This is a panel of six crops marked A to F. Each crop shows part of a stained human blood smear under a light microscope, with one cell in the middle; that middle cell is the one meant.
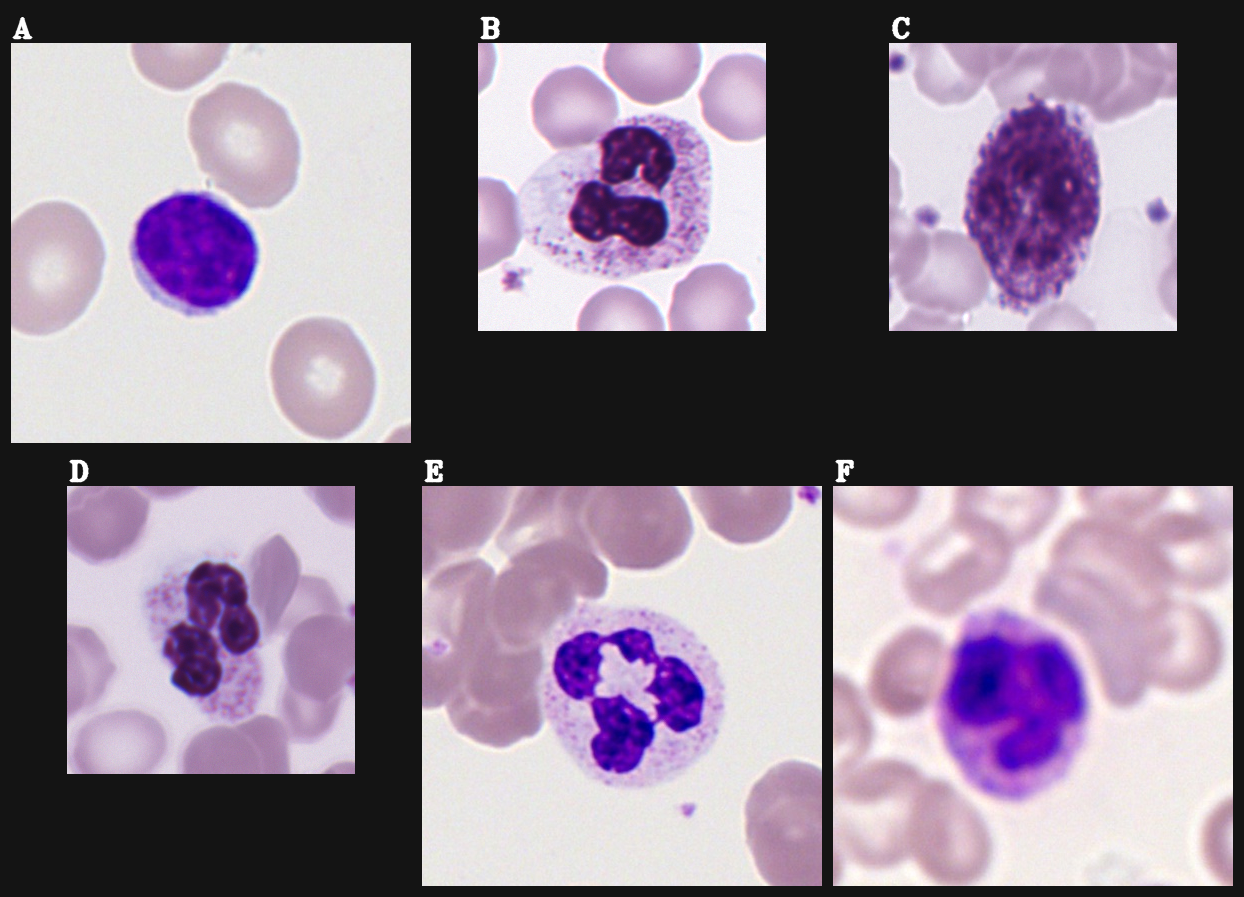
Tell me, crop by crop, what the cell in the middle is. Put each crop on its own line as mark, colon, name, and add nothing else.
A: lymphocyte
B: neutrophil
C: basophil
D: neutrophil
E: neutrophil
F: basophil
